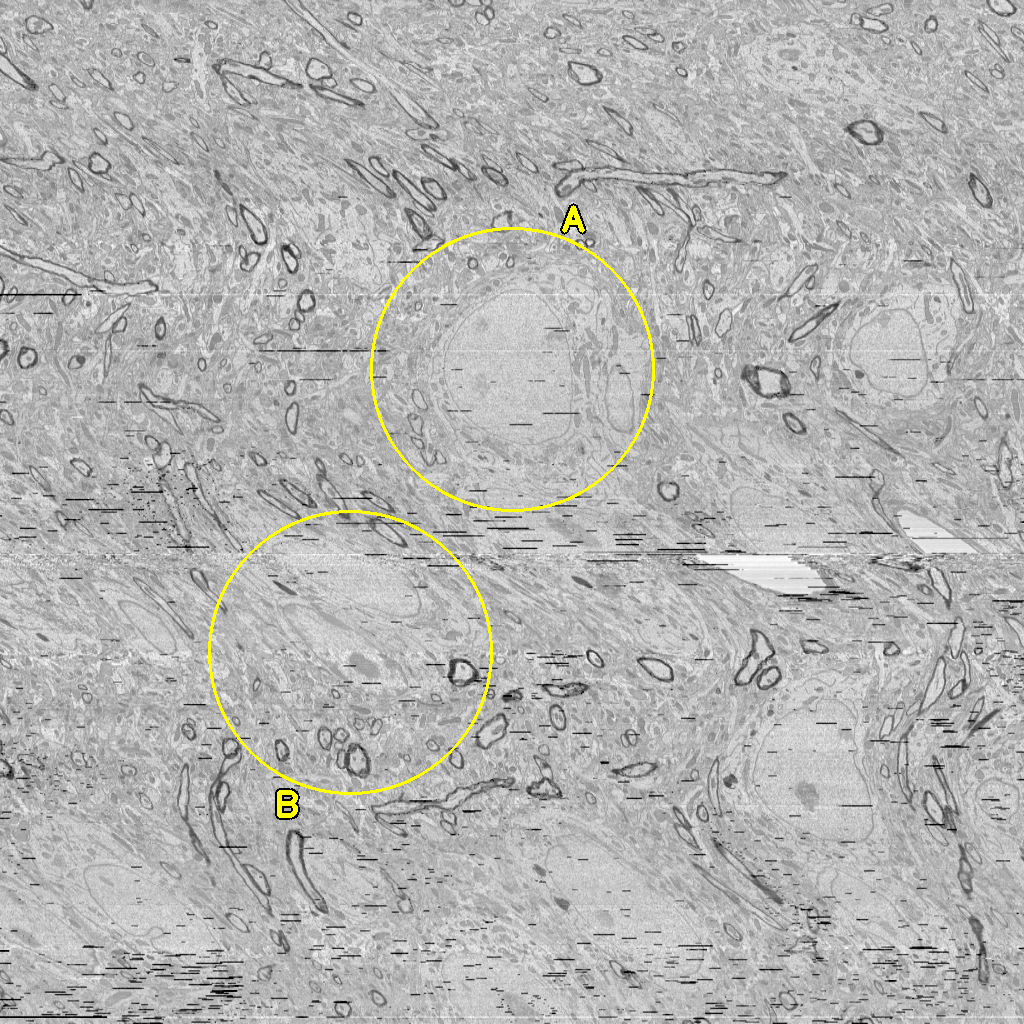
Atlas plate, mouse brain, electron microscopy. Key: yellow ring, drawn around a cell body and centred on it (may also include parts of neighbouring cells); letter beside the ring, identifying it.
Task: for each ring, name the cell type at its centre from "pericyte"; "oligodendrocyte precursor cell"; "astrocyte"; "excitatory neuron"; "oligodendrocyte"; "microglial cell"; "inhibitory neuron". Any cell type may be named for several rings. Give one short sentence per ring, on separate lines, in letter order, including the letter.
Ring A is centred over an excitatory neuron.
Ring B is centred over an oligodendrocyte.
